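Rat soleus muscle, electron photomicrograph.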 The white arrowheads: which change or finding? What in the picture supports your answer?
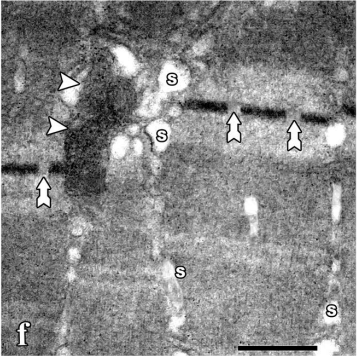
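A dark smudged mass without clear cristae sits across the myofibril line. Pale vacuoles lie beside it.
Conclusion: degenerated mitochondria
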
